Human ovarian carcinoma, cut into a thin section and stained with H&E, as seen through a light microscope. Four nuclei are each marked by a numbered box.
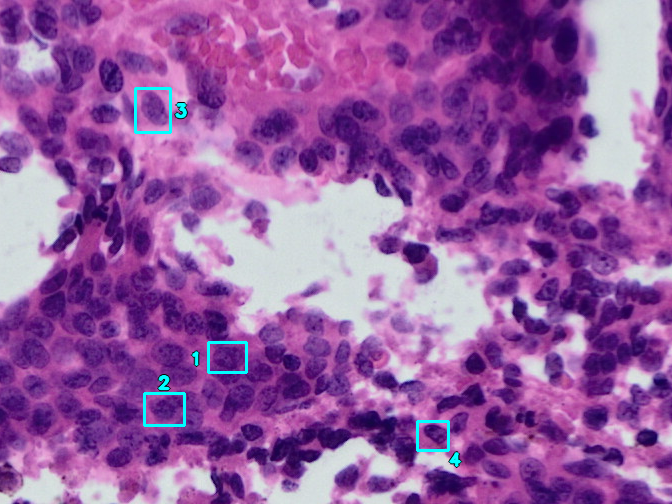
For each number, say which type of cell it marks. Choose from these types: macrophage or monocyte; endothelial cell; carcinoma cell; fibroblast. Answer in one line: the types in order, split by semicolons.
carcinoma cell; carcinoma cell; carcinoma cell; macrophage or monocyte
